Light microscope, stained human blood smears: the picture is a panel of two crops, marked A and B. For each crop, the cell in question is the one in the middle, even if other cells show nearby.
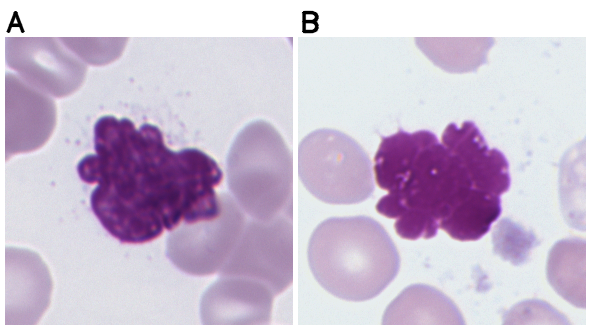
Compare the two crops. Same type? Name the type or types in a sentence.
Yes, the central cells in both crops are smudge cells.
